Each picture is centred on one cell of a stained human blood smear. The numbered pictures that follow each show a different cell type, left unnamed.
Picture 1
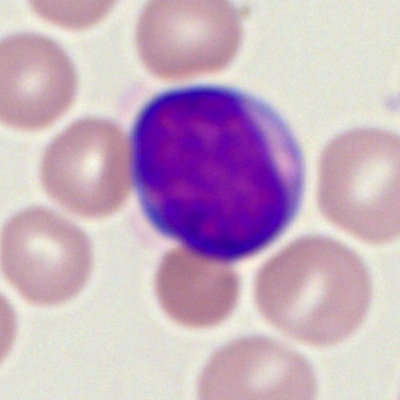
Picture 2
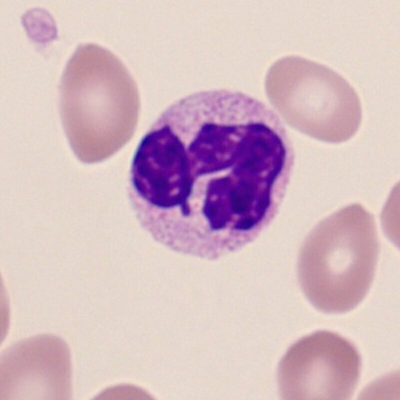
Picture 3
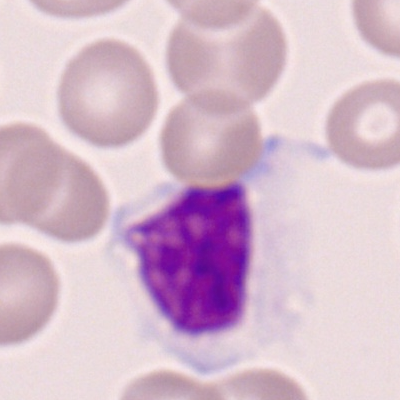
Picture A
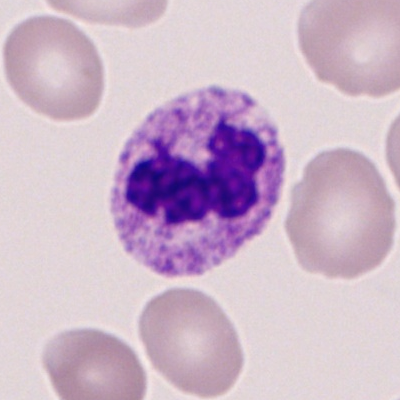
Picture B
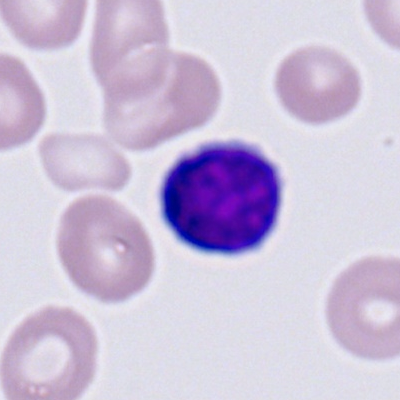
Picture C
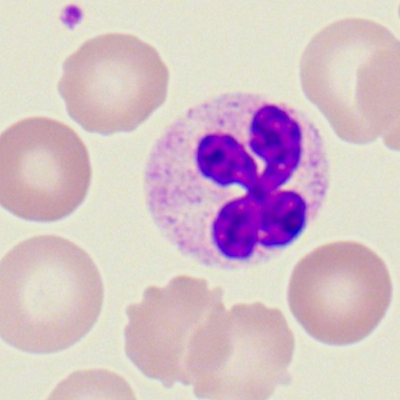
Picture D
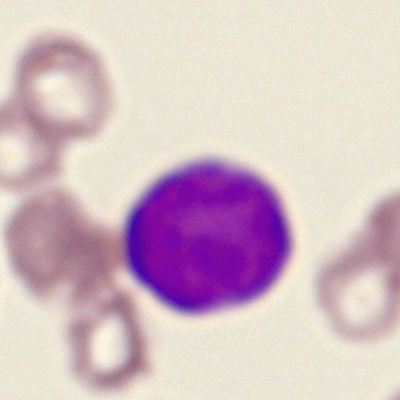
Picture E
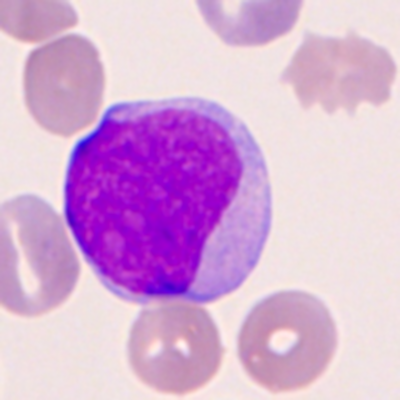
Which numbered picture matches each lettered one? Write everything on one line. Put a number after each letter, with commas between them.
A 2, B 3, C 2, D 1, E 1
